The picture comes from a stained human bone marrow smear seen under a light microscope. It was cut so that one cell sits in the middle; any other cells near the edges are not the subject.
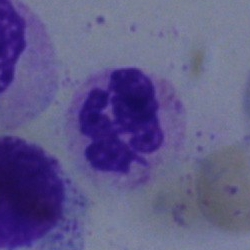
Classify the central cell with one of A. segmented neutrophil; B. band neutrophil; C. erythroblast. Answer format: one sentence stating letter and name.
Option A stands as correct, the central cell being a segmented neutrophil.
